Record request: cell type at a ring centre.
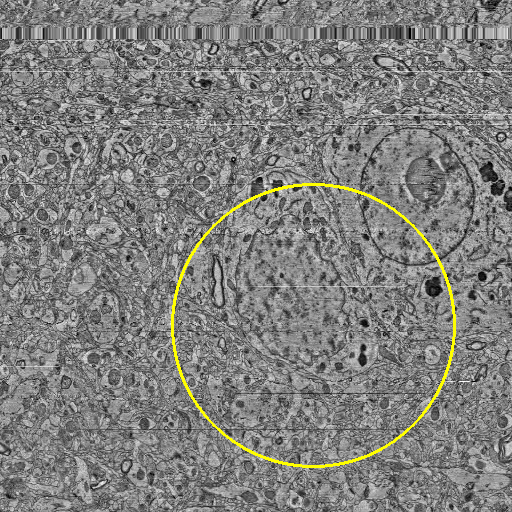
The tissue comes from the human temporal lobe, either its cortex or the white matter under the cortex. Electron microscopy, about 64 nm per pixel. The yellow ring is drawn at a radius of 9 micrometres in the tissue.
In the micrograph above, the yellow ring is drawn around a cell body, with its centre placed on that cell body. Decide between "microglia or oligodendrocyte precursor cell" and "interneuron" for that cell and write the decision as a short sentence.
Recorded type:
The cell centred in the yellow ring is an interneuron.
